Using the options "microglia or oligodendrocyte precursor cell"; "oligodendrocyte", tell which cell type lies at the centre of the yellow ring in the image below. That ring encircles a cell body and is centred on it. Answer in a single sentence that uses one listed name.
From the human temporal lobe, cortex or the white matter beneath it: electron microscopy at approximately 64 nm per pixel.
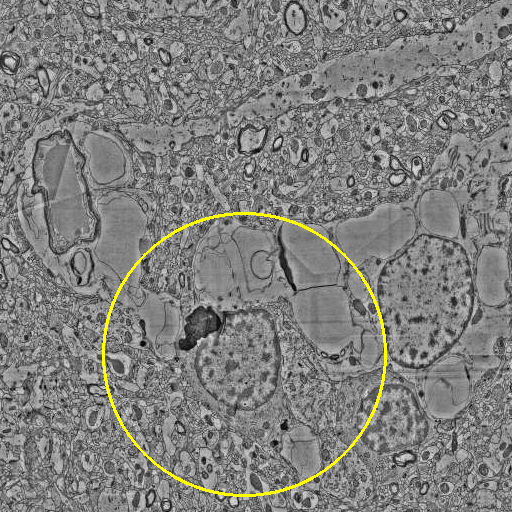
At the centre of the yellow ring lies the body of an oligodendrocyte.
